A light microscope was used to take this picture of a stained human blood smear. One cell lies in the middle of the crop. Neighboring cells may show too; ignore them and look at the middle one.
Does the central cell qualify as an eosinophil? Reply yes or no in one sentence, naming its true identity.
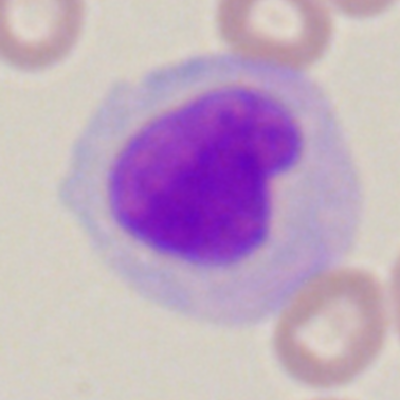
No, at the middle of the crop is a monocyte, not an eosinophil.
